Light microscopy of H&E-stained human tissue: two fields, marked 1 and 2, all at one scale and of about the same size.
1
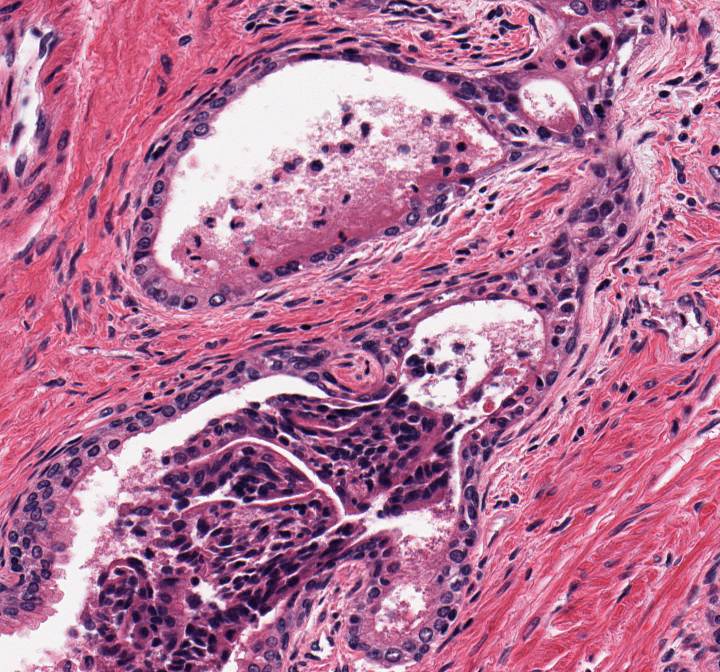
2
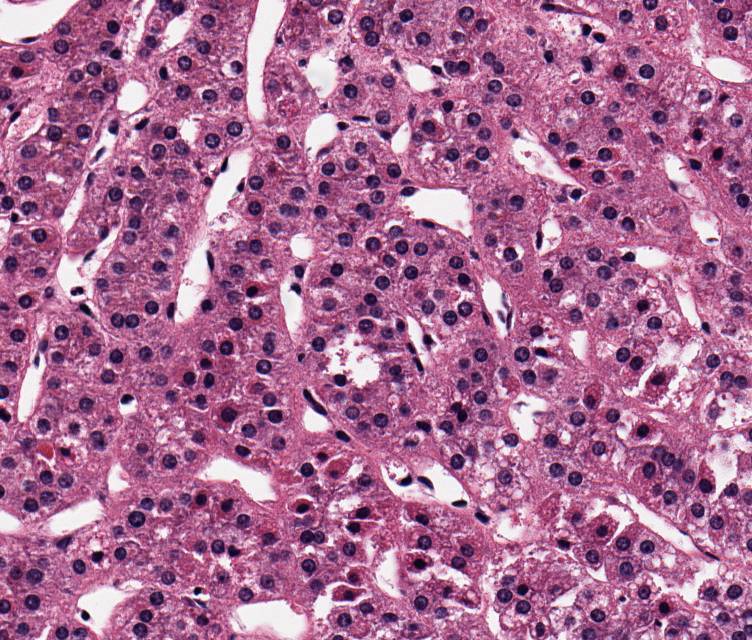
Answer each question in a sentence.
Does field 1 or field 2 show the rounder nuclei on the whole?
On the whole the nuclei of field 2 are rounder than those of field 1.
